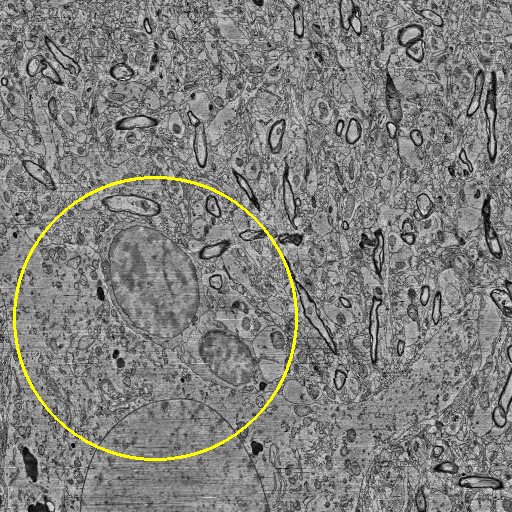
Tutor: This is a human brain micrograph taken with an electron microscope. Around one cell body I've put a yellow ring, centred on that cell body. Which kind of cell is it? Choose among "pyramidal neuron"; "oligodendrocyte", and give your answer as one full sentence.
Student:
Going by your list, the cell centred in the yellow ring is an oligodendrocyte.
